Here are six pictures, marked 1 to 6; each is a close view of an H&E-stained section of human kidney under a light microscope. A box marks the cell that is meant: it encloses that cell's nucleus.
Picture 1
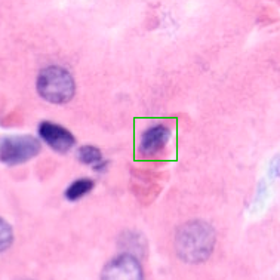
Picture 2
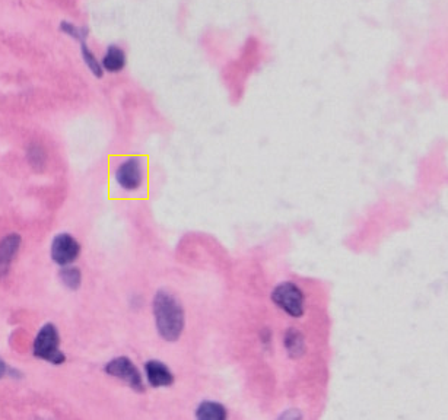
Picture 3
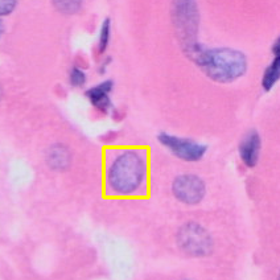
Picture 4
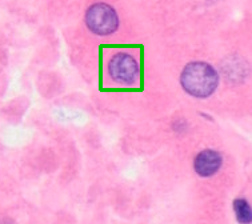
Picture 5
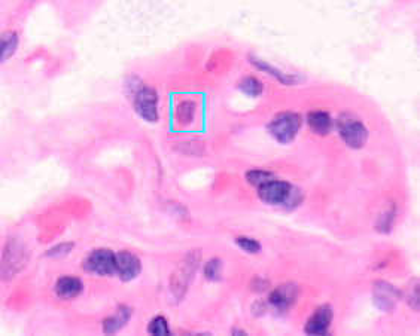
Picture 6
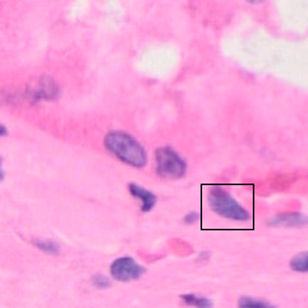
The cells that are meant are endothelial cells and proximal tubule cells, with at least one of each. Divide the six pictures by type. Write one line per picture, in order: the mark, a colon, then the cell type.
1: endothelial cell
2: endothelial cell
3: proximal tubule cell
4: proximal tubule cell
5: endothelial cell
6: endothelial cell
